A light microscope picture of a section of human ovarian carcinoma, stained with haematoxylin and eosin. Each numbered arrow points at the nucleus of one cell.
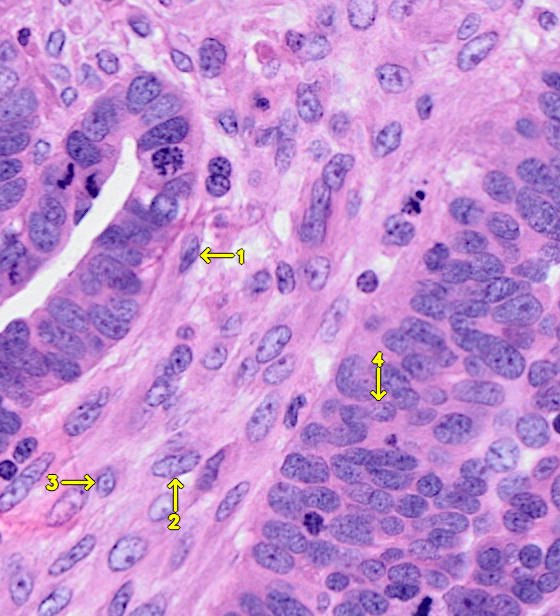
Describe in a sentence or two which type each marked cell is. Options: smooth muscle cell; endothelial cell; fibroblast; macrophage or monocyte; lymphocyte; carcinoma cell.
Cell 1 is a fibroblast, cell 2 is a fibroblast, cell 3 is a fibroblast and cell 4 is a carcinoma cell.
